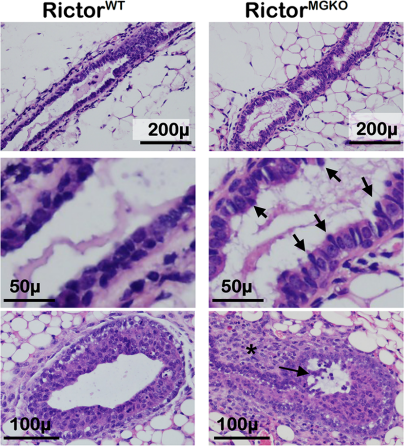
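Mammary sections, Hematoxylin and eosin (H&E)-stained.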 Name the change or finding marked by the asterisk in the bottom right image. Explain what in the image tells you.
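Dense cellular tissue surrounds the epithelium at the asterisk, between it and the fat cells.
Stromal thickening.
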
